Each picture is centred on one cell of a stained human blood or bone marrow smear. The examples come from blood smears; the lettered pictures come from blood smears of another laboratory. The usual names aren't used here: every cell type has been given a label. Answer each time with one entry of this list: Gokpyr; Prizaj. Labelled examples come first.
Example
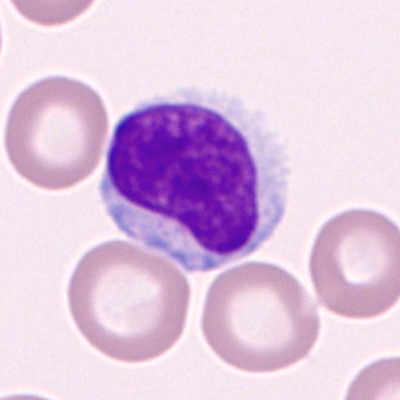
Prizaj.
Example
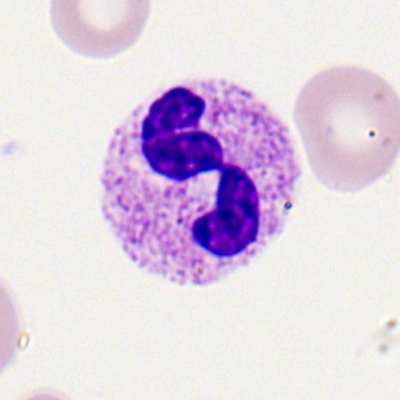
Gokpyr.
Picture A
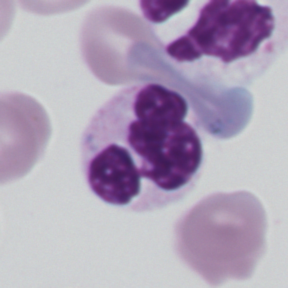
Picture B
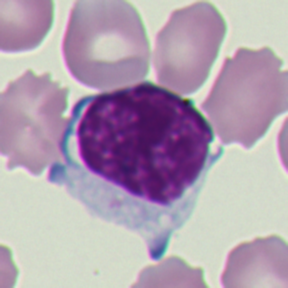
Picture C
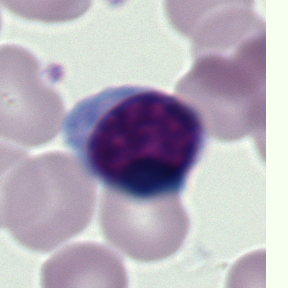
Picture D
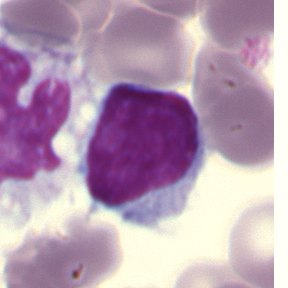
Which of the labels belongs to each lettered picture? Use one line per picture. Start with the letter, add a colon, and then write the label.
A: Gokpyr.
B: Prizaj.
C: Prizaj.
D: Prizaj.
